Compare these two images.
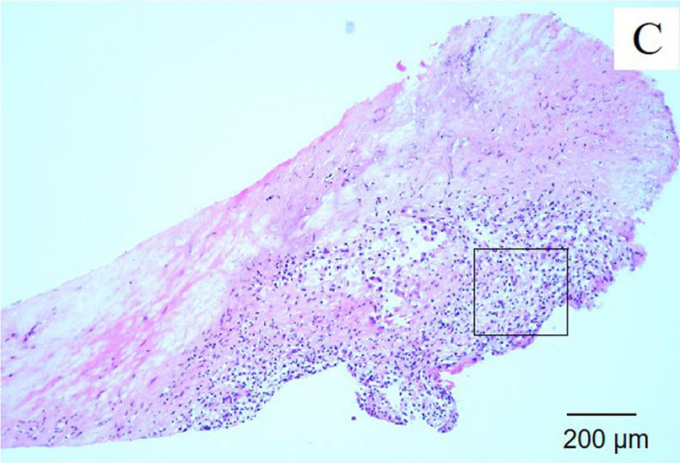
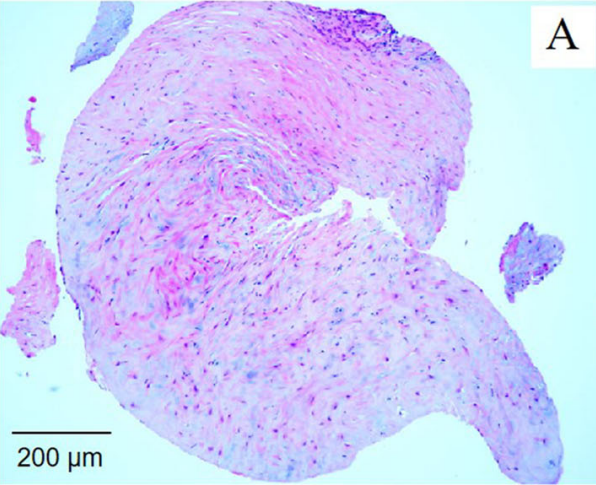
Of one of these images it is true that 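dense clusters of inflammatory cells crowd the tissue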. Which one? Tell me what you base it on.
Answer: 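First image: a large area packed with small dark nuclei beside pale fibrous tissue.
Answer: the first image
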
